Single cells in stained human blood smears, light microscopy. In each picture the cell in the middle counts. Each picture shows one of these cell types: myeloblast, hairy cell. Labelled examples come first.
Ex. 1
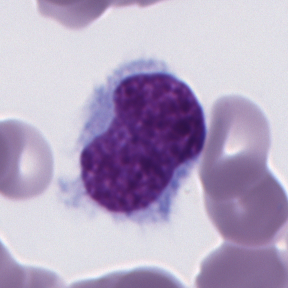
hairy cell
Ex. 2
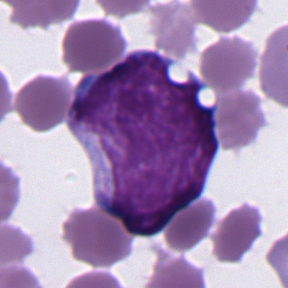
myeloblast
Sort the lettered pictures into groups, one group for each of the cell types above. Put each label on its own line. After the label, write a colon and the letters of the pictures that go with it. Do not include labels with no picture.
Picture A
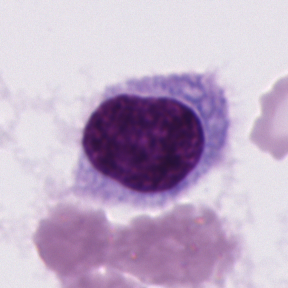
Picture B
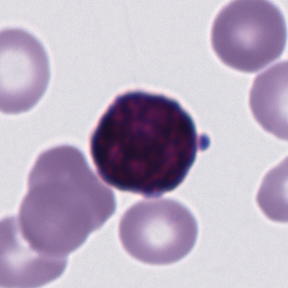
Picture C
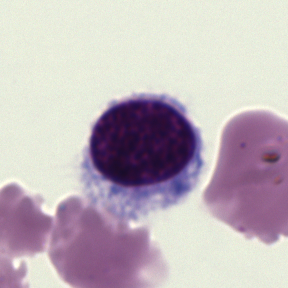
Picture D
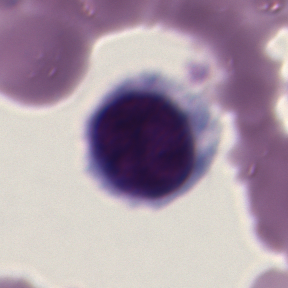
myeloblast: B
hairy cell: A, C, D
